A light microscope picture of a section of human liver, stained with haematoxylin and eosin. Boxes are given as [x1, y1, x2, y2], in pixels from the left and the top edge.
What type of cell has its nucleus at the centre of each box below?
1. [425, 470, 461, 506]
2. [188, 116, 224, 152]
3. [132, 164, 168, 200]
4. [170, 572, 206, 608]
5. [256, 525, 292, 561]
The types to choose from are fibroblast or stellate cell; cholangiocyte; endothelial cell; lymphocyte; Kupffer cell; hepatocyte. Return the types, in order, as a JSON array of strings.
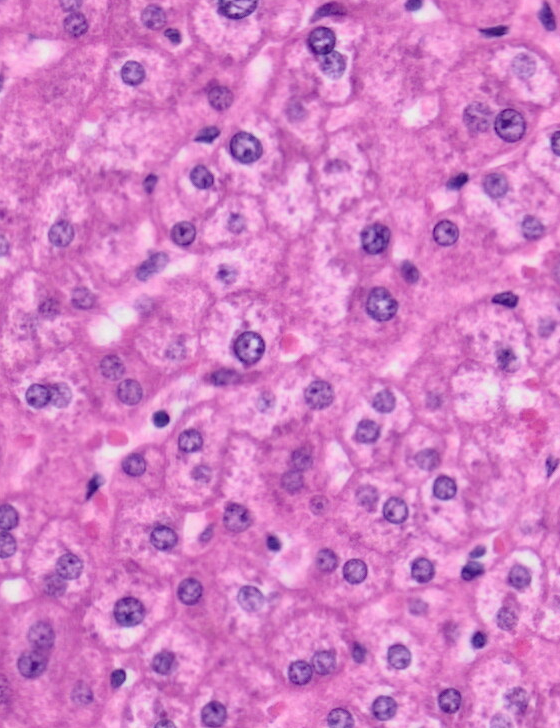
["hepatocyte", "endothelial cell", "fibroblast or stellate cell", "hepatocyte", "lymphocyte"]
